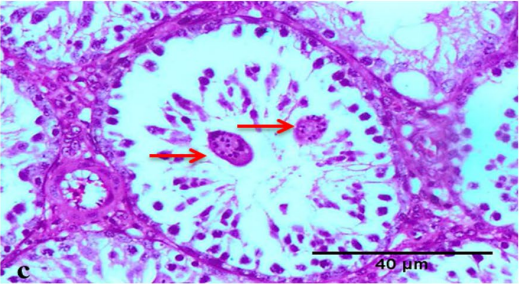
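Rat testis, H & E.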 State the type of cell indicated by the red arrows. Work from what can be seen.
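Giant cells. The arrowed cells lie free in the tubule lumen. They are much larger than the surrounding germ cells. Each contains several nuclei within one rounded cytoplasm.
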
